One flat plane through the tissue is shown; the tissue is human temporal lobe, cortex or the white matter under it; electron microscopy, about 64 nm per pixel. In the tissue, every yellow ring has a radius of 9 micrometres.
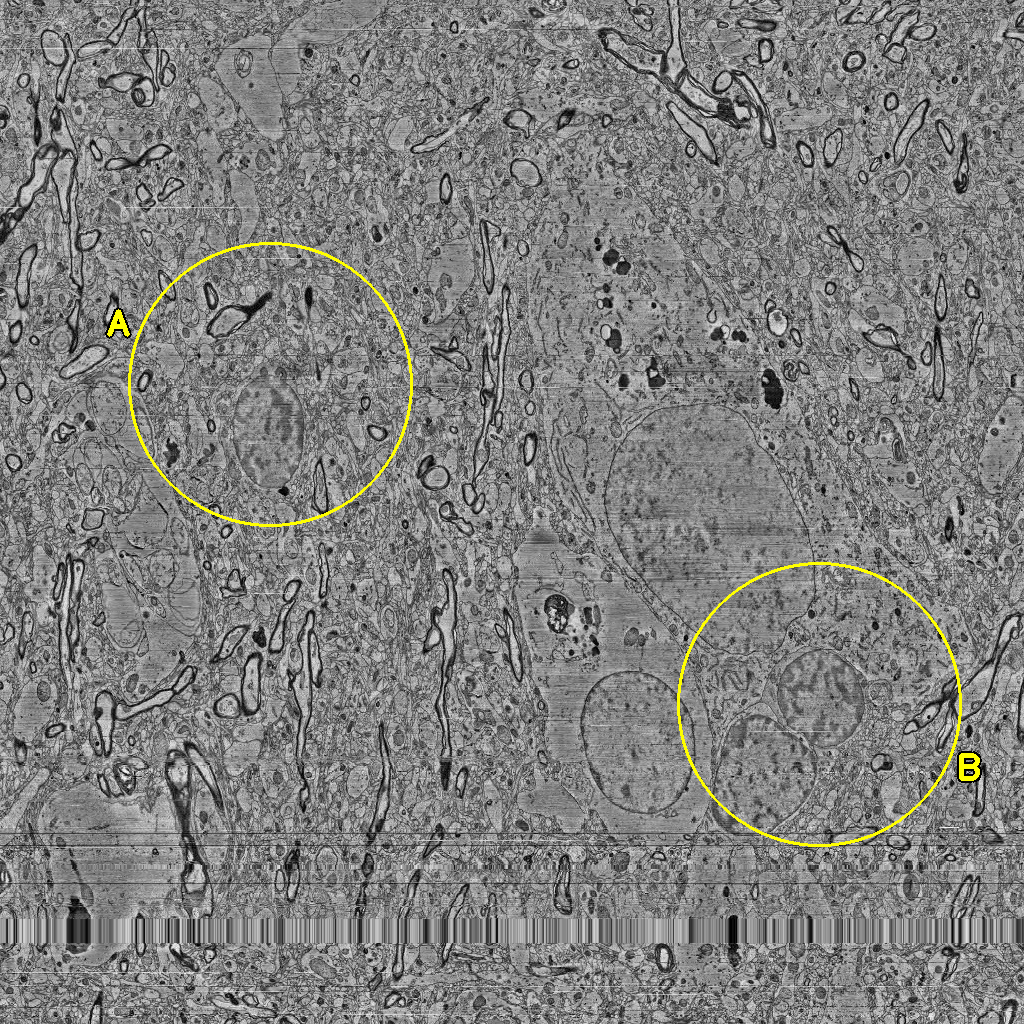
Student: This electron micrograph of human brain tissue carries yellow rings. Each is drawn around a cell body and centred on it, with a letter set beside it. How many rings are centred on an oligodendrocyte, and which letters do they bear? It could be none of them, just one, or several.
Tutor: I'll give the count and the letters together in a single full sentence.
Each of the rings lettered A and B is centred on an oligodendrocyte, making two such rings.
